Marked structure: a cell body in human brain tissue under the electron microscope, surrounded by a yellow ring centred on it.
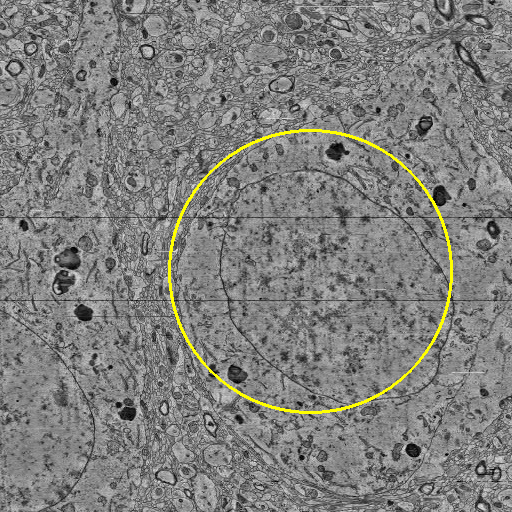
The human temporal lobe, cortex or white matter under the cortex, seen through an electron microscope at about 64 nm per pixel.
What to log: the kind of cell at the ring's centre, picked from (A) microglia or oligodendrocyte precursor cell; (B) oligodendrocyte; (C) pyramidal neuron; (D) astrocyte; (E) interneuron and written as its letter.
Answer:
C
